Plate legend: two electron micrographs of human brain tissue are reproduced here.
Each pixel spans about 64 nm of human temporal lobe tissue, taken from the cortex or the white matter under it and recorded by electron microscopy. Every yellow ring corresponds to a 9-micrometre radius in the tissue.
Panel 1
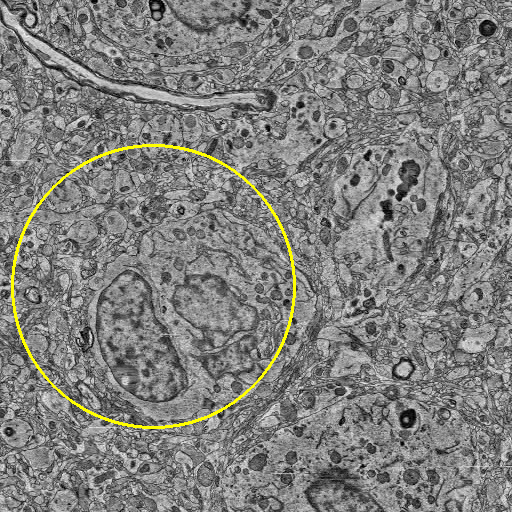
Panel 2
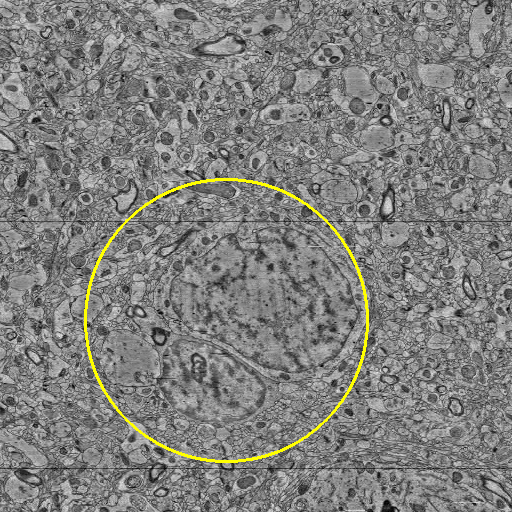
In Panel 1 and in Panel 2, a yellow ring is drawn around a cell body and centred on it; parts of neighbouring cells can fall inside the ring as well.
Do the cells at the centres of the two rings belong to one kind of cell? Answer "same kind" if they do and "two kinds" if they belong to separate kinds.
two kinds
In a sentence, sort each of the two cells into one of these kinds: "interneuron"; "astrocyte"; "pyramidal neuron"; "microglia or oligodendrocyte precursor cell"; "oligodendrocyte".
The first of the two cells is a microglial cell or oligodendrocyte precursor cell, and the second is an interneuron.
